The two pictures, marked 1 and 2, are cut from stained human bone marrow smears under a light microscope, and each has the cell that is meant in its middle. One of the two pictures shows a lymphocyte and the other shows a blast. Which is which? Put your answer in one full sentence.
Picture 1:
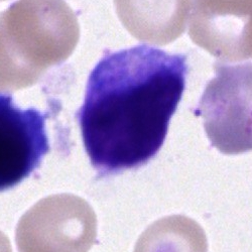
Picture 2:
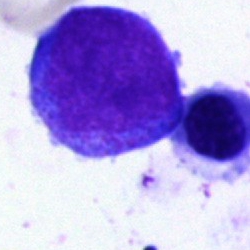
Picture 2 shows a blast, while picture 1 shows a lymphocyte.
